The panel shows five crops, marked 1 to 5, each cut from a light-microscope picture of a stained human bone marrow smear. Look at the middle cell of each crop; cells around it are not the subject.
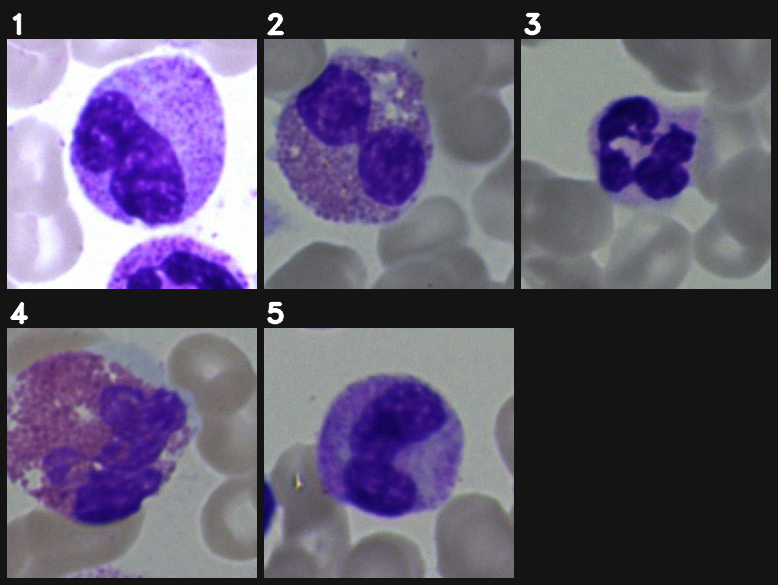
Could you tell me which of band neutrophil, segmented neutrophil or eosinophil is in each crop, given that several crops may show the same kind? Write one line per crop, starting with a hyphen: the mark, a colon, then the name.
- 1: band neutrophil
- 2: eosinophil
- 3: segmented neutrophil
- 4: eosinophil
- 5: band neutrophil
